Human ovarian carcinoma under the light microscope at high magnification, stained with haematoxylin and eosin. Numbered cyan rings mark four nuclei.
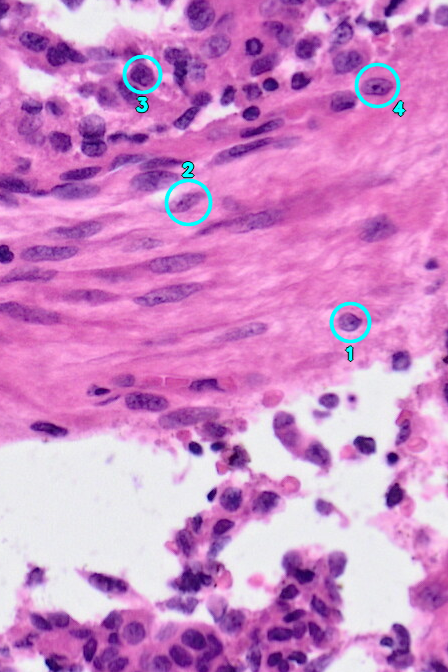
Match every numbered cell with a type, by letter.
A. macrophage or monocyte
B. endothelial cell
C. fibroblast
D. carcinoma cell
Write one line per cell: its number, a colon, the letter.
1: A
2: C
3: D
4: A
